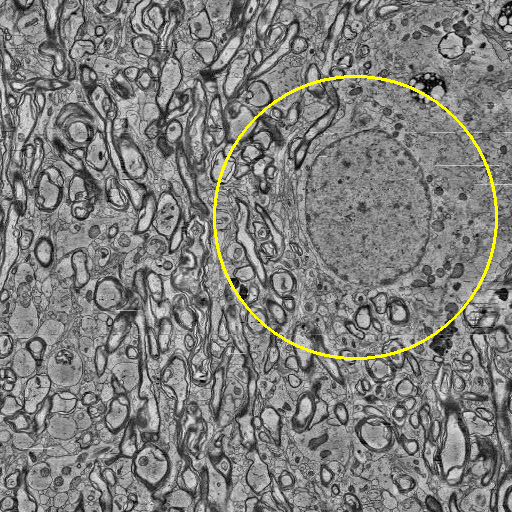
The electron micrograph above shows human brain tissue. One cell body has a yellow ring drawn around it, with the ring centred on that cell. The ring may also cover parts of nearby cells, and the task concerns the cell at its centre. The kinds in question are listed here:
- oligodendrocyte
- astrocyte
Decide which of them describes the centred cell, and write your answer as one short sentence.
The centred cell is an astrocyte.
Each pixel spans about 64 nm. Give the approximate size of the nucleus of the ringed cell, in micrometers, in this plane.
In this plane, approximately 10 by 8 micrometers.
